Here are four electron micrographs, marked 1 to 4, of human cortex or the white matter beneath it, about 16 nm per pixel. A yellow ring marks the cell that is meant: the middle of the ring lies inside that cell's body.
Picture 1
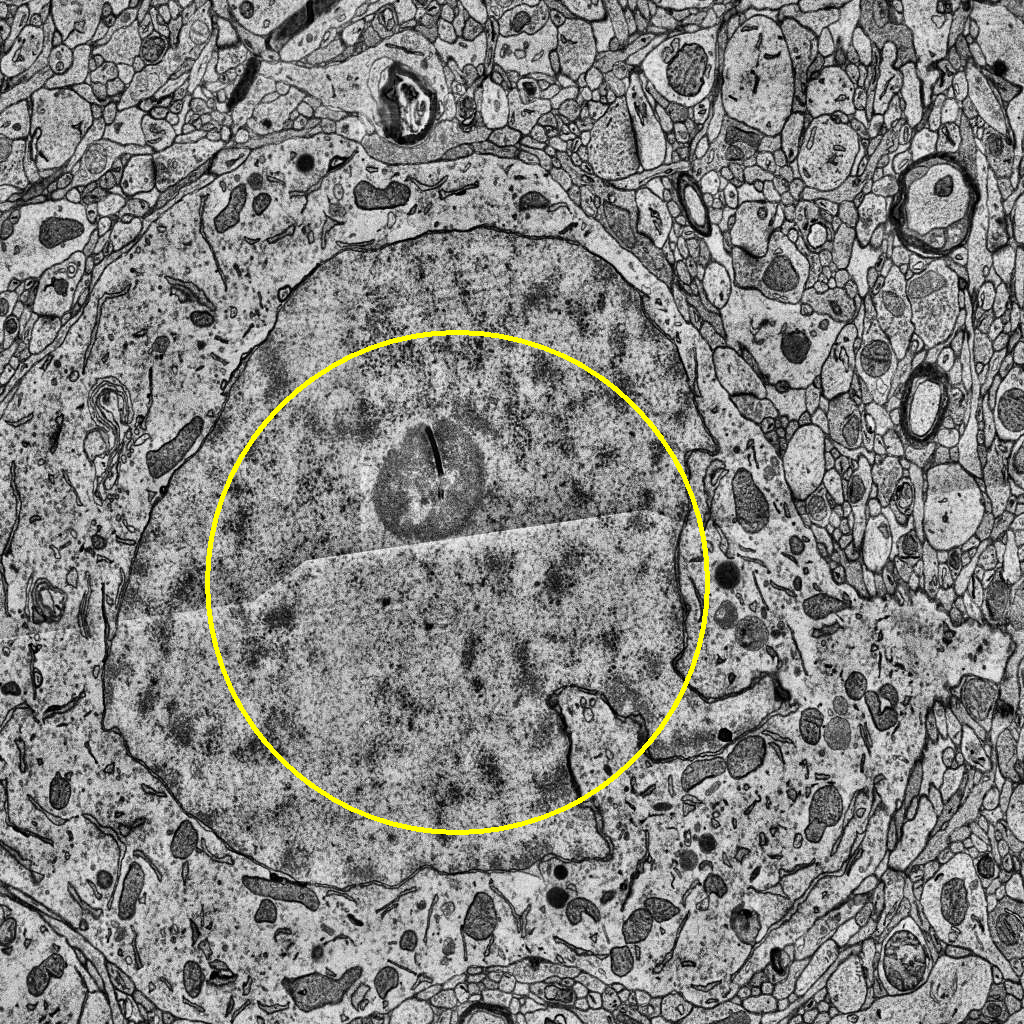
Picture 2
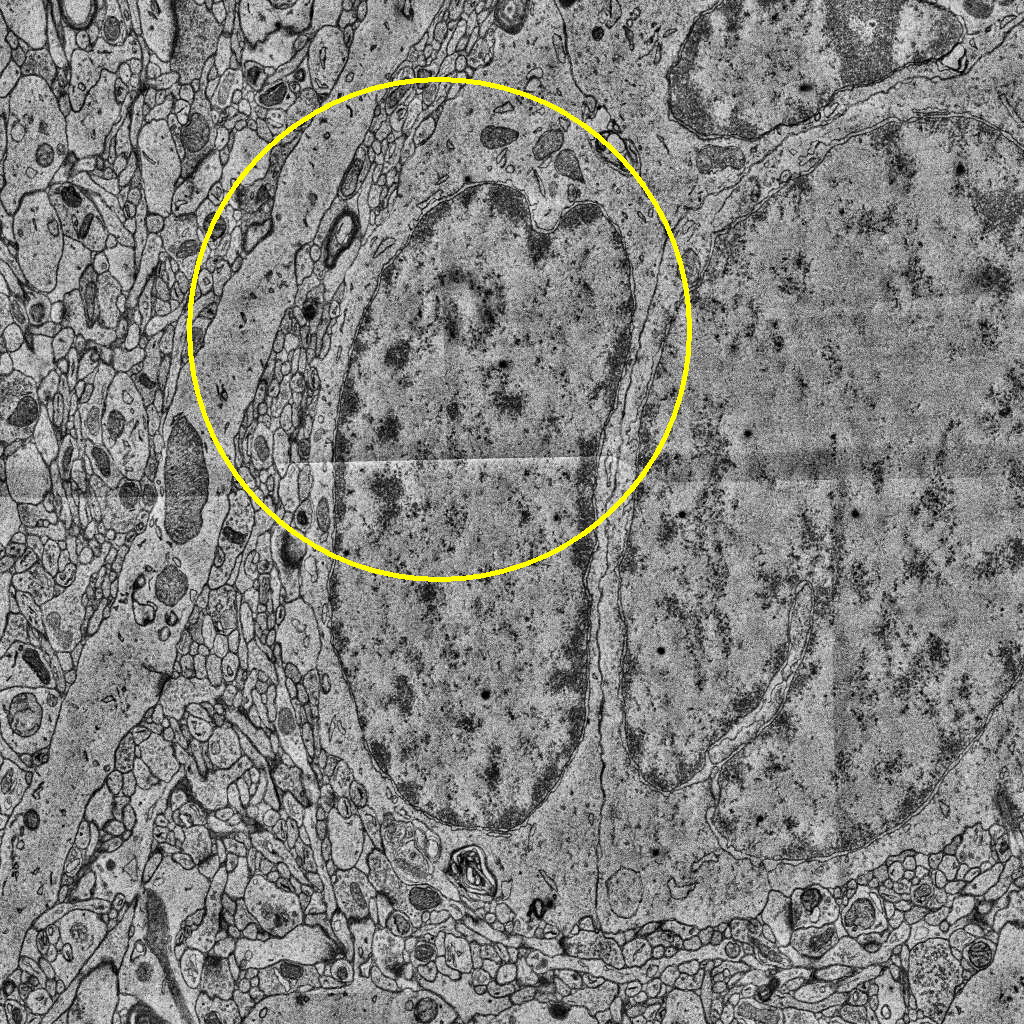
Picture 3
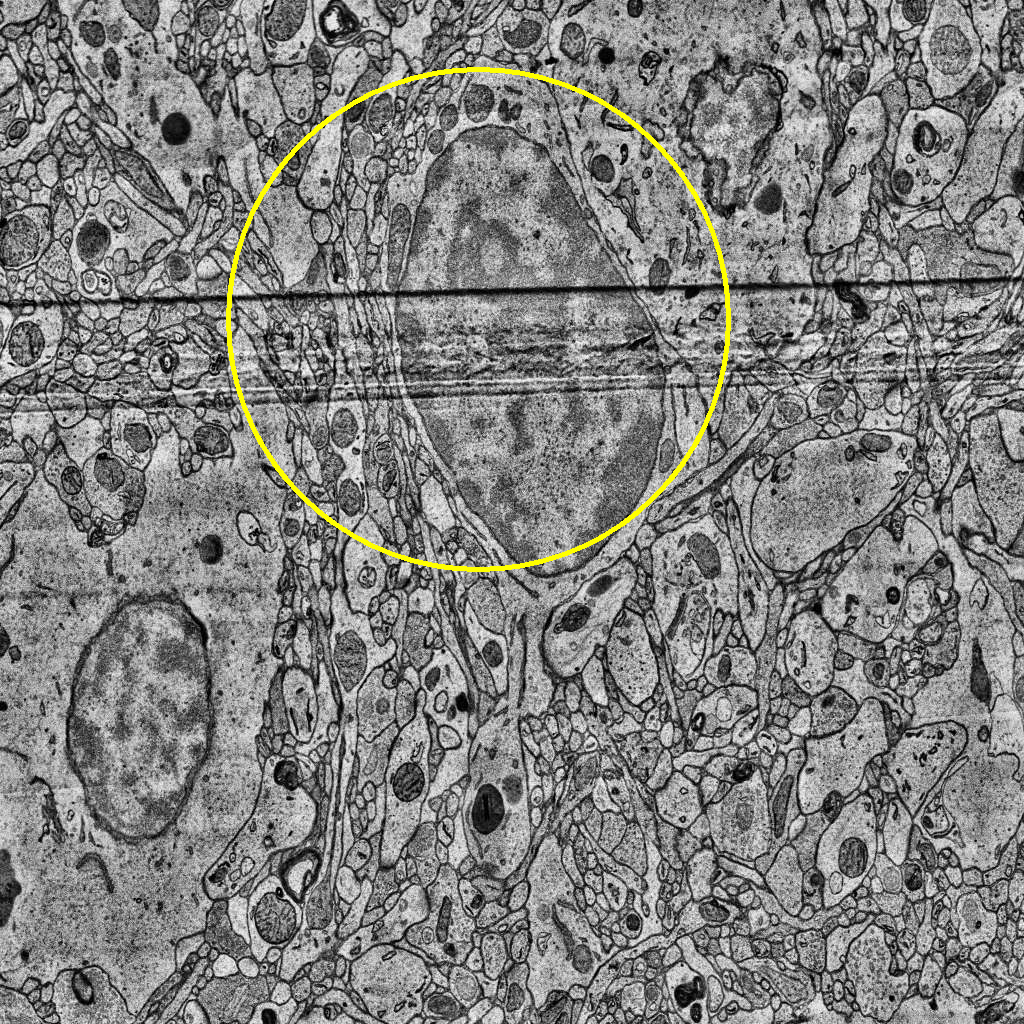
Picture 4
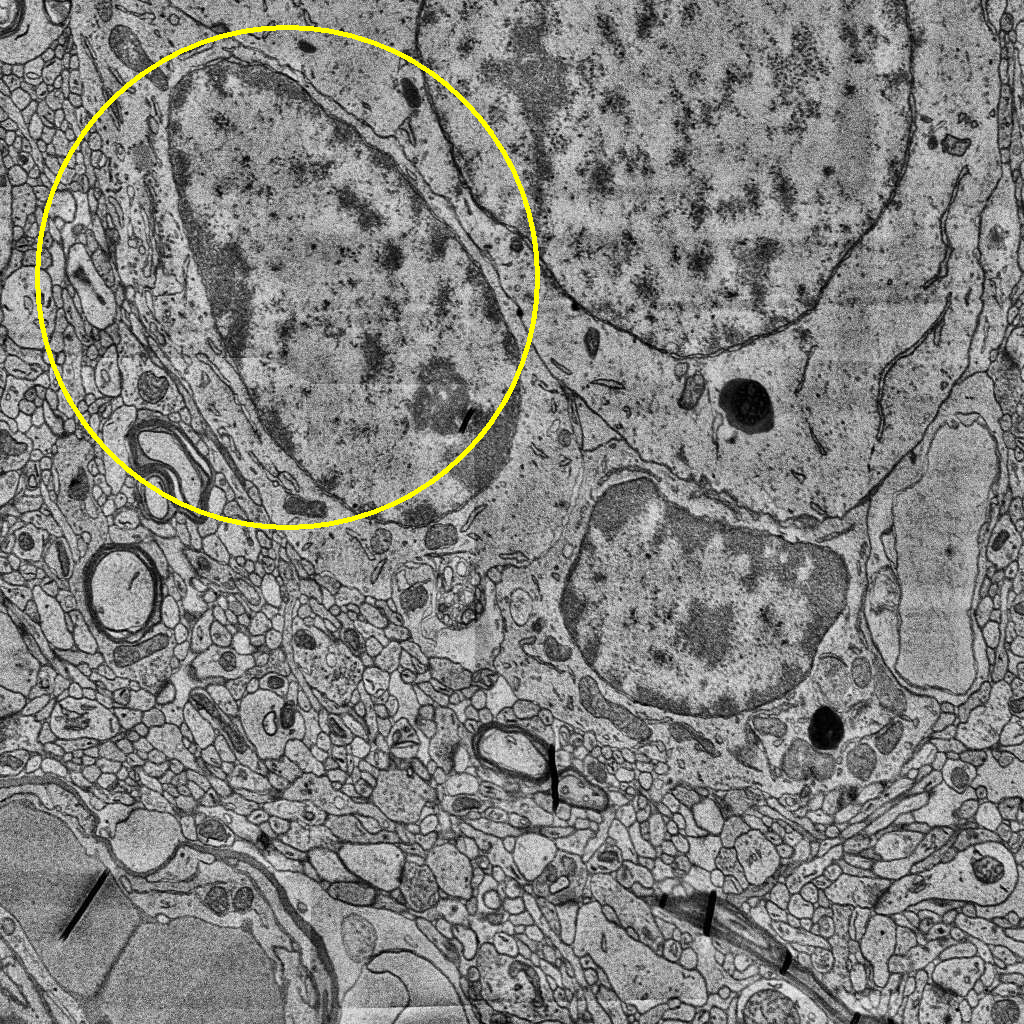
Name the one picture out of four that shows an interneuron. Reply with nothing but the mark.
1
